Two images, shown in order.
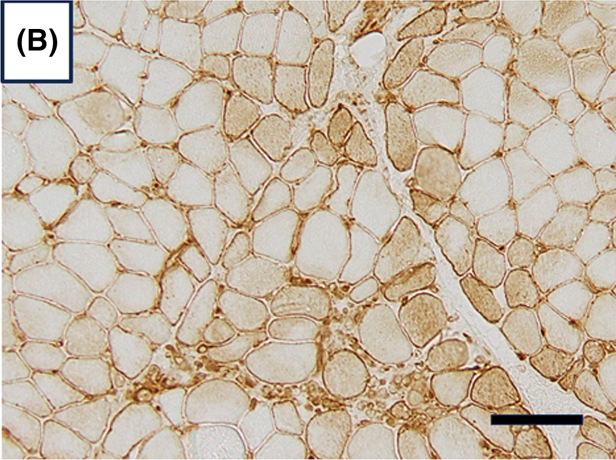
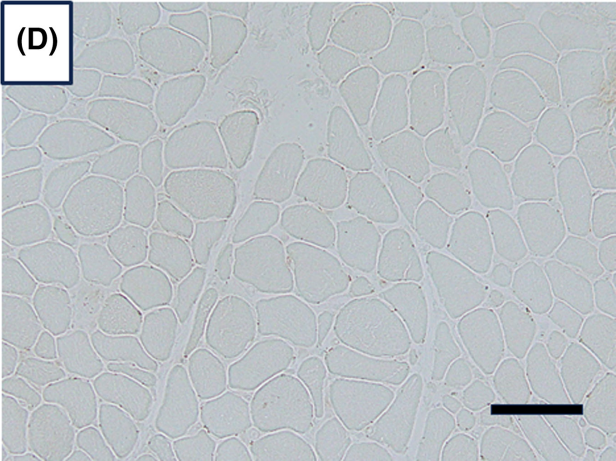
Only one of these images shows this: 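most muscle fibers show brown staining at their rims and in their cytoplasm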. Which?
The first image.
